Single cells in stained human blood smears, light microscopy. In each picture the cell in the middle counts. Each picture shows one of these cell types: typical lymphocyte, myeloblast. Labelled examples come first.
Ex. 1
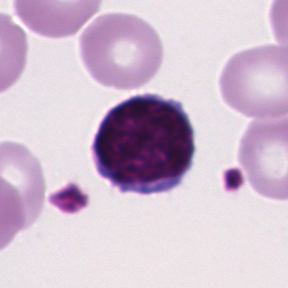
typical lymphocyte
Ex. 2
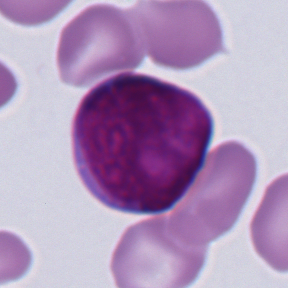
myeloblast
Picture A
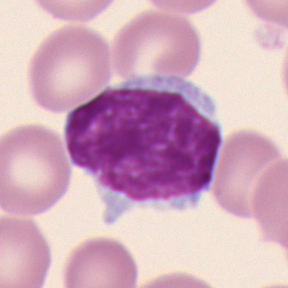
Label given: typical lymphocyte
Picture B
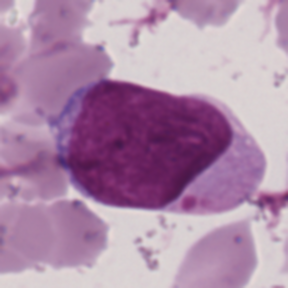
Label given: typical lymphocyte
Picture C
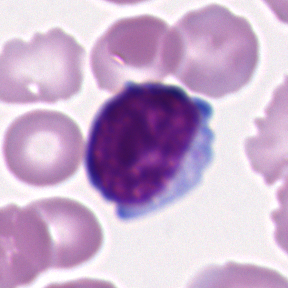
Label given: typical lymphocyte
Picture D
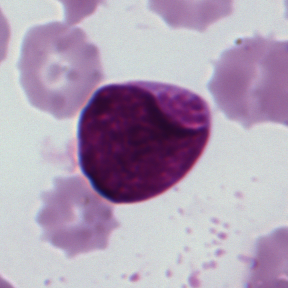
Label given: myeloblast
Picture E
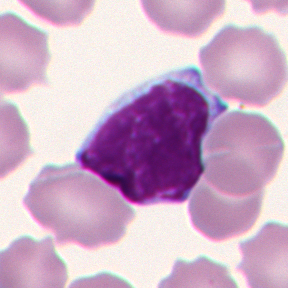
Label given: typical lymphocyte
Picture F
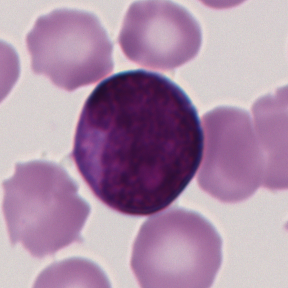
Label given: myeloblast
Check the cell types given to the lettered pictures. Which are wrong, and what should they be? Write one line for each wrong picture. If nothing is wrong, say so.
B: myeloblast, not typical lymphocyte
